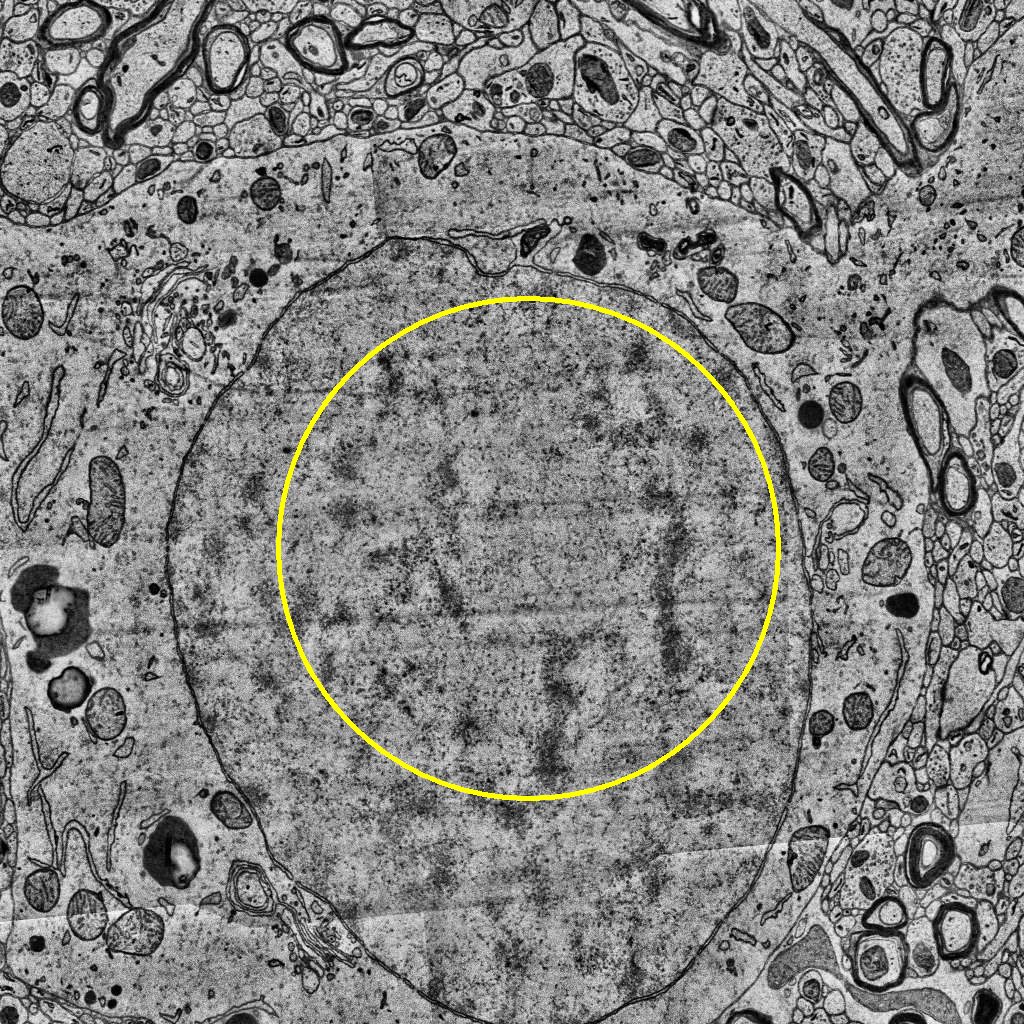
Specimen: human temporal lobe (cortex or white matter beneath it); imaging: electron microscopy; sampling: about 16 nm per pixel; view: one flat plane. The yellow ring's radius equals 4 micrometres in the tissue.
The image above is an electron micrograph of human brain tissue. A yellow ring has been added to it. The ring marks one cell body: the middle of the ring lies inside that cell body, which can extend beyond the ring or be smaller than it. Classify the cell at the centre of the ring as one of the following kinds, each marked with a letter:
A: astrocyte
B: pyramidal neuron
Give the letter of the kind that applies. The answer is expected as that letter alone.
B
